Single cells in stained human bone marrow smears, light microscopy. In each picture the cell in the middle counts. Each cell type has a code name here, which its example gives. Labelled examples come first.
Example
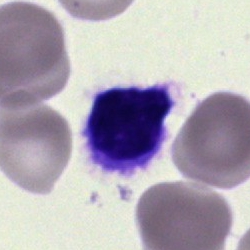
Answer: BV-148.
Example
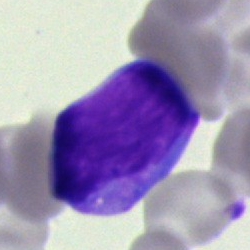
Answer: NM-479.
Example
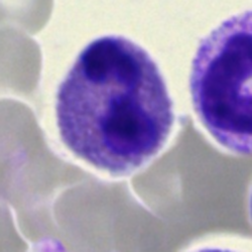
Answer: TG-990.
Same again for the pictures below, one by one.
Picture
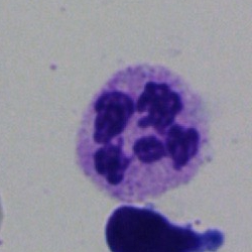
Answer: TG-990.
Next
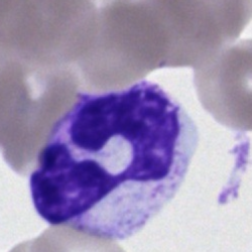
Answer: TG-990.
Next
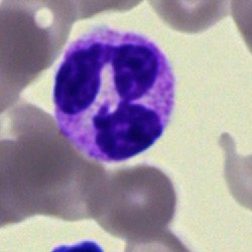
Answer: TG-990.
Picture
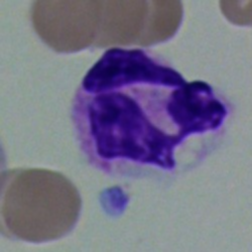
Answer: TG-990.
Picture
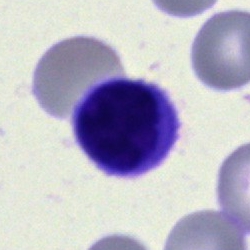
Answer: BV-148.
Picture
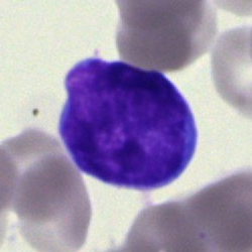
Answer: NM-479.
